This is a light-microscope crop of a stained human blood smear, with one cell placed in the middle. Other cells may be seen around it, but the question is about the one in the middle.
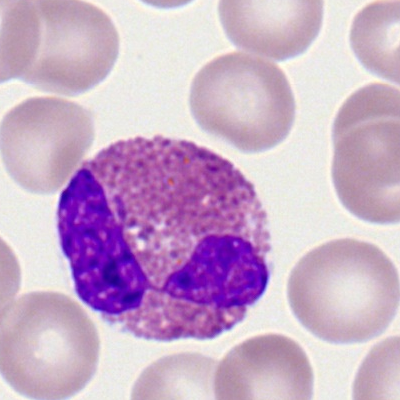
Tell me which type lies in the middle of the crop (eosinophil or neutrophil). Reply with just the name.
eosinophil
